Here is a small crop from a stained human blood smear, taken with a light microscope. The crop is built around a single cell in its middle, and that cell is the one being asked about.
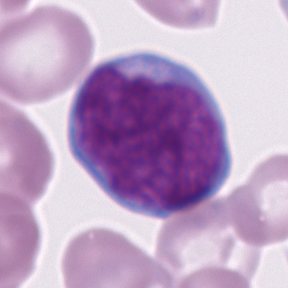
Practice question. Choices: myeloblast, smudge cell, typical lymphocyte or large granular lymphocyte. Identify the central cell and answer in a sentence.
Occupying the centre of the crop is a myeloblast.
